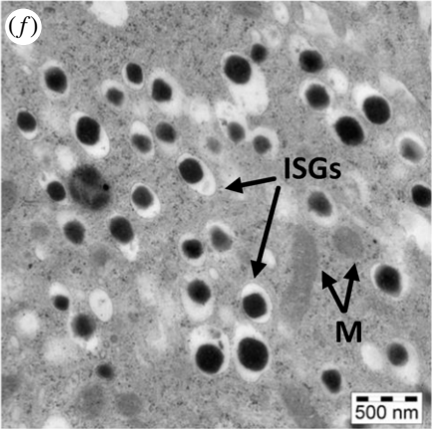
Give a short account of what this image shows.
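At high magnification, the cytoplasm of a pancreatic islet cell is crowded with round to oval granules. Each granule has a very dark, dense core surrounded by a clear, pale halo inside its membrane, and the cores vary in size. Between the granules lie elongated grey mitochondria with faint internal cristae, set in a finely granular cytoplasm.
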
